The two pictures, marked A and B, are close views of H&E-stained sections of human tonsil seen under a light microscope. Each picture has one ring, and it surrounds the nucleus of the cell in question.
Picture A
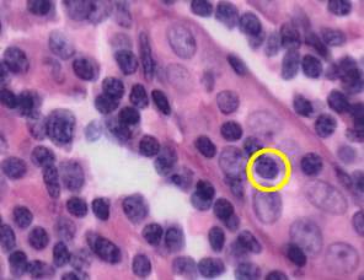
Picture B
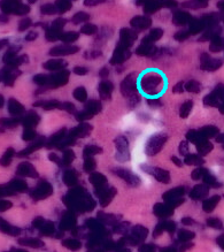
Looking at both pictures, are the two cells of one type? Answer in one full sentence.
Yes; the cells in both pictures are endothelial cells.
